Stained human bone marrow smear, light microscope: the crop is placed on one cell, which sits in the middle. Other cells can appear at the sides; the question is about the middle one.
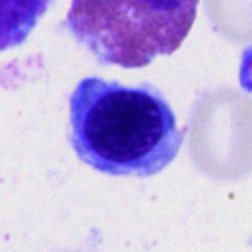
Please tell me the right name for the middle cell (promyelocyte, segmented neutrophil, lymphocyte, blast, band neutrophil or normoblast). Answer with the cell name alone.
normoblast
